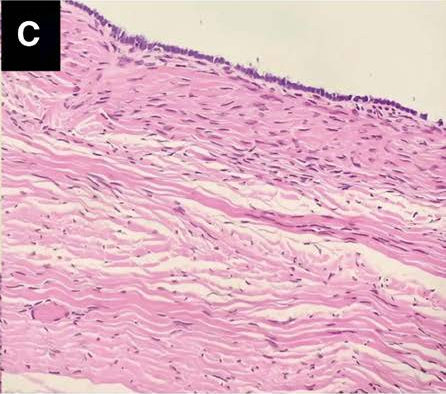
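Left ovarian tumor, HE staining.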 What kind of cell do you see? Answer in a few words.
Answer: Single cubic epithelium.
